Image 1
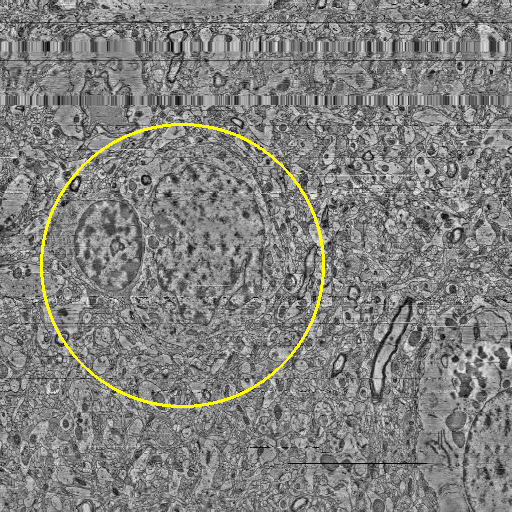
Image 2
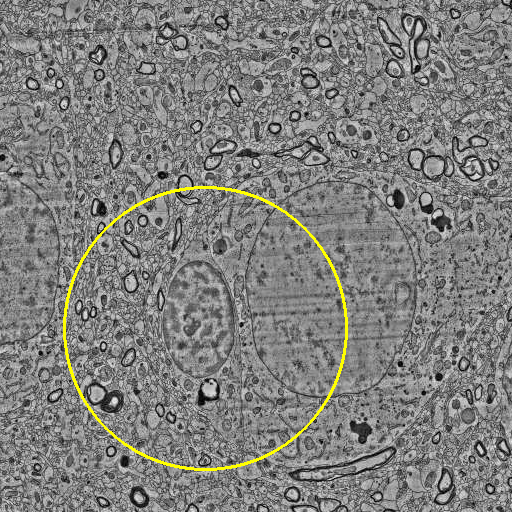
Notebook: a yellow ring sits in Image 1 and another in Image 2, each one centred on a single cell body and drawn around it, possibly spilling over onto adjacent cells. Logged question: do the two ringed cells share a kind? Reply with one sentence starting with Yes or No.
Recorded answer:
No, the centre cells inside the rings of Image 1 and Image 2 are of two kinds.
